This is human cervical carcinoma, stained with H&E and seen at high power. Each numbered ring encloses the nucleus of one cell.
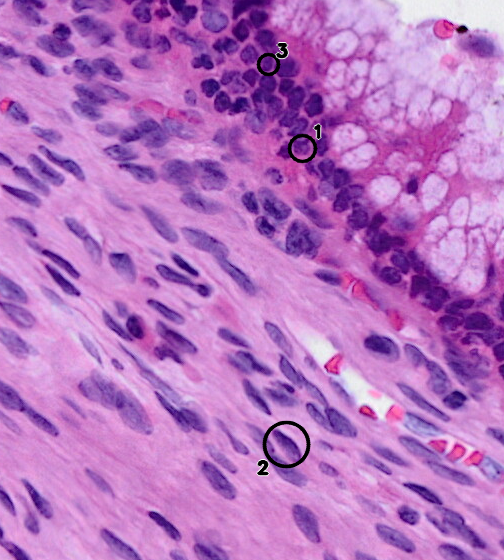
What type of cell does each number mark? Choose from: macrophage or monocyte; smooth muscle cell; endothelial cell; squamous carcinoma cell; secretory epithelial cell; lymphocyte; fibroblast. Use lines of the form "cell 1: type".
cell 1: secretory epithelial cell
cell 2: fibroblast
cell 3: secretory epithelial cell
